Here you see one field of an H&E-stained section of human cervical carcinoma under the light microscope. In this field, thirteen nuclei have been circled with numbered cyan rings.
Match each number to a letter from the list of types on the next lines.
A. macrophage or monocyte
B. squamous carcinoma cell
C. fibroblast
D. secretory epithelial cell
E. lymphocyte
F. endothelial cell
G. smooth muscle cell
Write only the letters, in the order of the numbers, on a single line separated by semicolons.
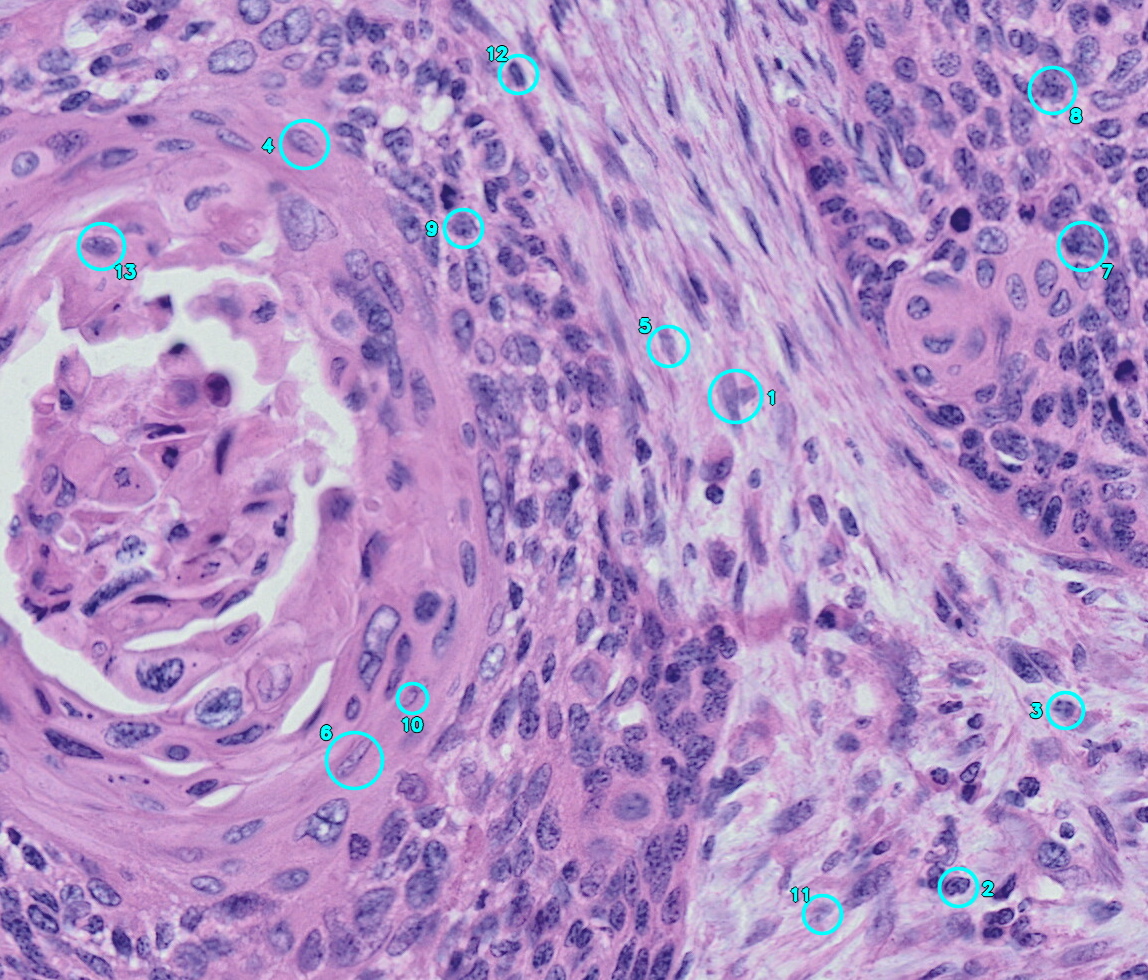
C; E; E; B; C; B; B; B; B; B; C; E; B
